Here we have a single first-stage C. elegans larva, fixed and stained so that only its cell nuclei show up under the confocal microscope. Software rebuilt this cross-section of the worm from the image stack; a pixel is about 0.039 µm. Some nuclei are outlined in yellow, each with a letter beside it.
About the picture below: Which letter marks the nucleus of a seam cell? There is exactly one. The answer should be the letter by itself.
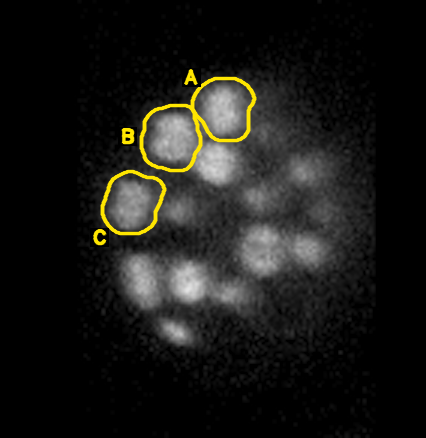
C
